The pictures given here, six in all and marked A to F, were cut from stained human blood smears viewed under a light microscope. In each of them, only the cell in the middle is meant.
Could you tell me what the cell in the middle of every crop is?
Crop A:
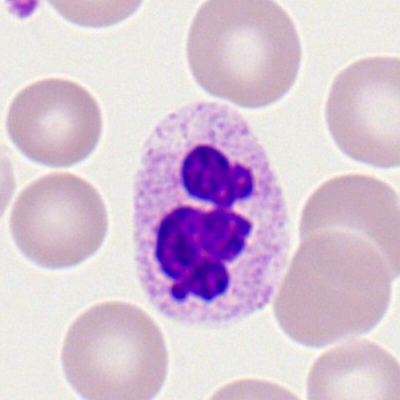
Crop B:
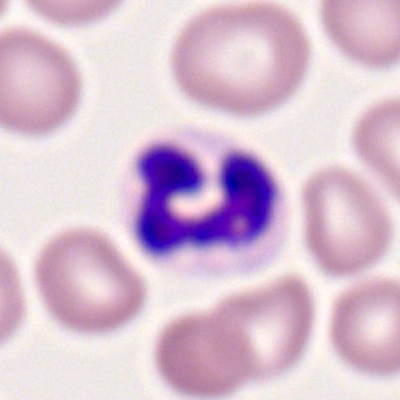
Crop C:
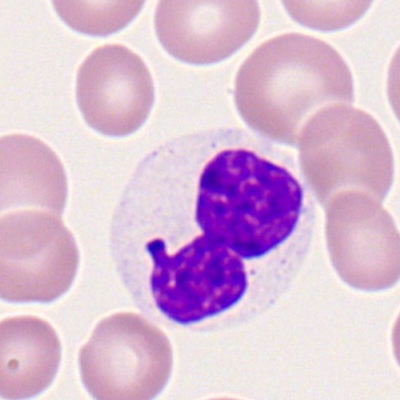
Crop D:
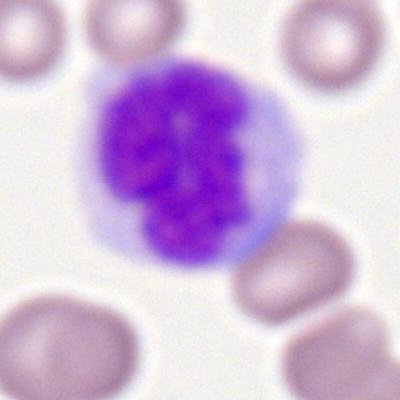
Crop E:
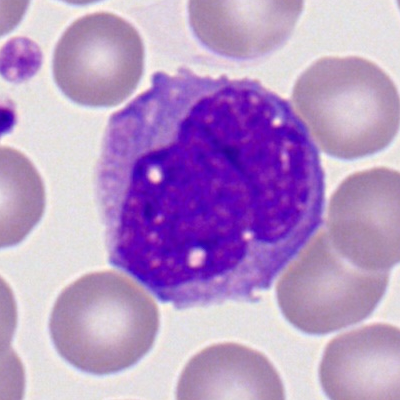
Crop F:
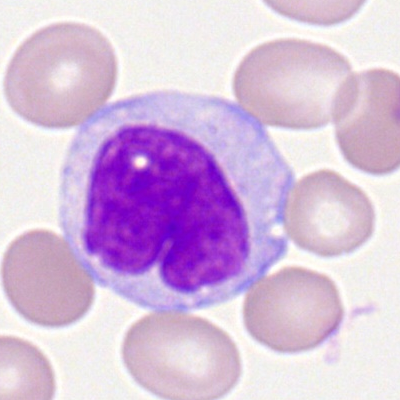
A: neutrophil
B: neutrophil
C: neutrophil
D: monocyte
E: monocyte
F: monocyte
